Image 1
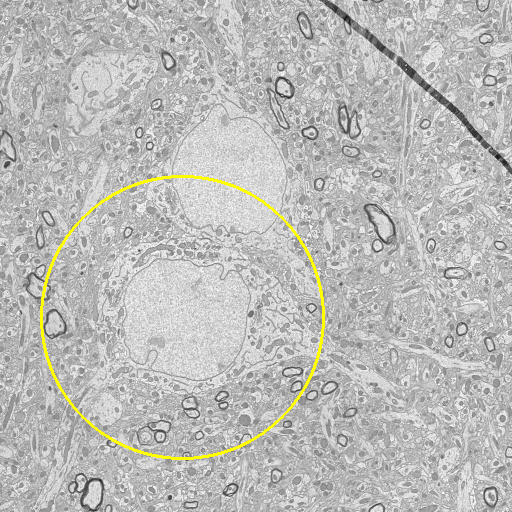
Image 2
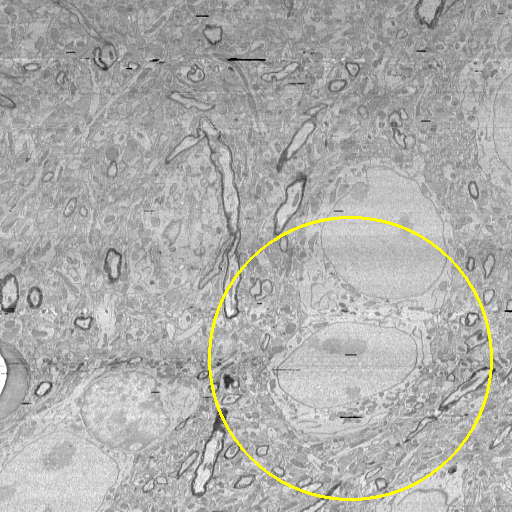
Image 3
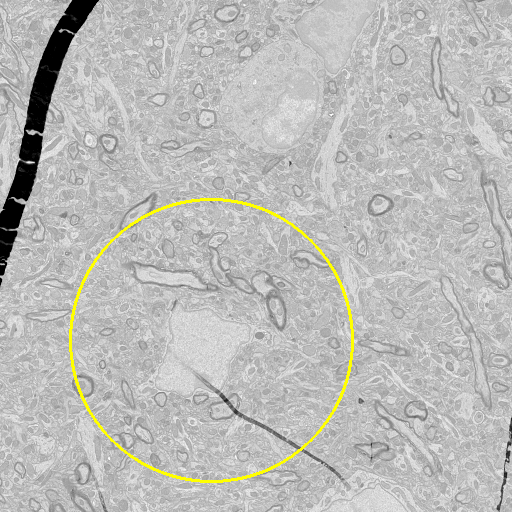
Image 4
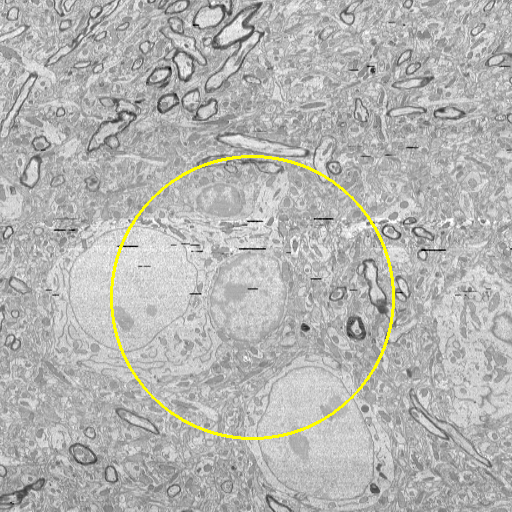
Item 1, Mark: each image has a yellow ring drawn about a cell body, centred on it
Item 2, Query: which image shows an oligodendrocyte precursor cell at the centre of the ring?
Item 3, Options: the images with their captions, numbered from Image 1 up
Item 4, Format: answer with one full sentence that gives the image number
My answer is image 3, where the cell at the ring's centre fits.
